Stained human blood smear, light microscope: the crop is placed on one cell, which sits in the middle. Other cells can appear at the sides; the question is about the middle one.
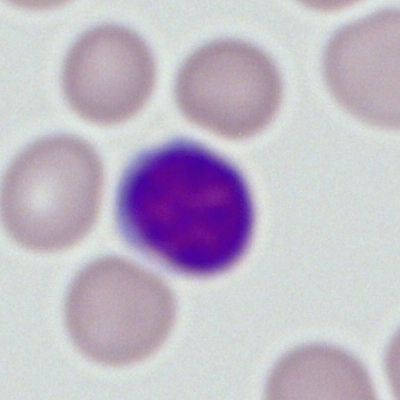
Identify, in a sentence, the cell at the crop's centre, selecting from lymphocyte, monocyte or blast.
The single cell at the center of the crop is a lymphocyte.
